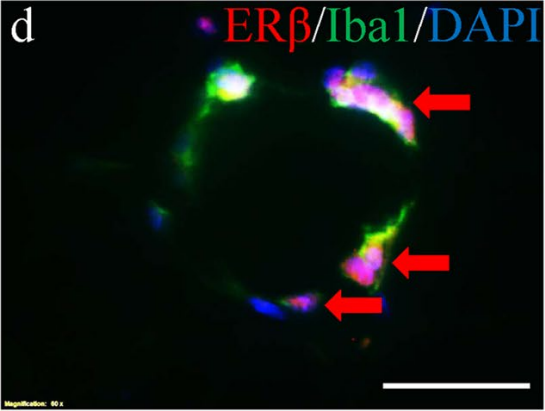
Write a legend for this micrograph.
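Macrophages gathered in a ring around a large round, unstained space. Several larger cell bodies cluster at the upper left and right and lower right of the ring. Their cytoplasm shows green and red overlapping to yellow-orange, with pink-magenta where red lies over the blue nuclei. Nuclei are oval to elongated, blue, and follow the curve of the ring. The space inside the ring and the surrounding background are dark.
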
